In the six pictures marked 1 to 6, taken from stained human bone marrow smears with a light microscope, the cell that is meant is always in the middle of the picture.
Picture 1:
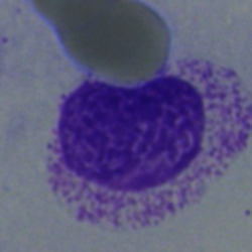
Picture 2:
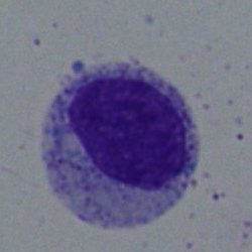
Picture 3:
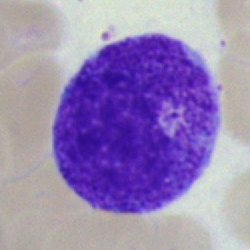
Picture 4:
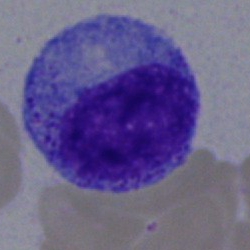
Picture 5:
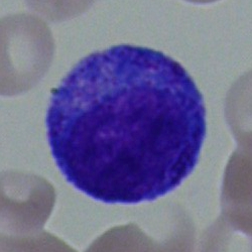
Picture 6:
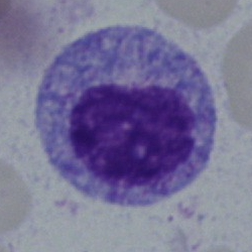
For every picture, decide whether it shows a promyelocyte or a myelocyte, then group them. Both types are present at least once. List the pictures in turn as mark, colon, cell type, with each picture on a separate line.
1: myelocyte
2: myelocyte
3: promyelocyte
4: promyelocyte
5: promyelocyte
6: promyelocyte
